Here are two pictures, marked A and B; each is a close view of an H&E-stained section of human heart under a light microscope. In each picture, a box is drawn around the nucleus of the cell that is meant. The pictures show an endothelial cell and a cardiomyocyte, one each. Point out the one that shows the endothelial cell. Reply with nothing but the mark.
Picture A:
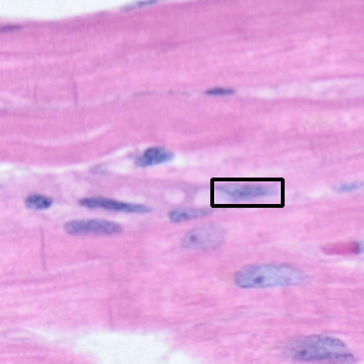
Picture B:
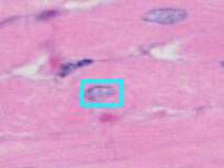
A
